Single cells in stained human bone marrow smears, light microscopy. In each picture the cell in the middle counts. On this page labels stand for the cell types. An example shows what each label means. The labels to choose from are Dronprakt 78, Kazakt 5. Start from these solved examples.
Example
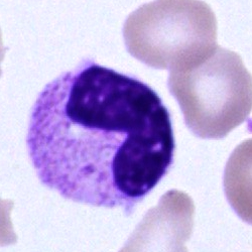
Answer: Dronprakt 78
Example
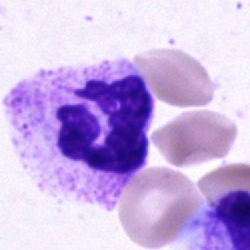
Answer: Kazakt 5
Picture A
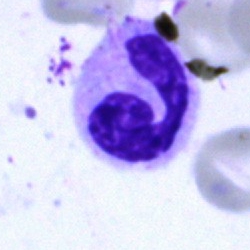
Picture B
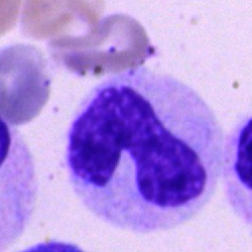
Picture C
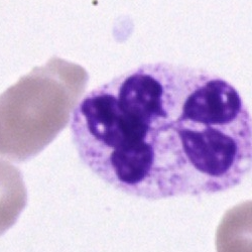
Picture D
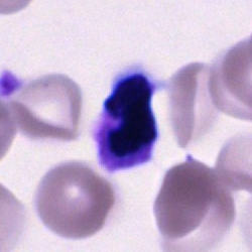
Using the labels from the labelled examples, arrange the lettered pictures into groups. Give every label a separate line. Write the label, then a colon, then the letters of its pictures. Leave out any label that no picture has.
Dronprakt 78: B
Kazakt 5: A, C, D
